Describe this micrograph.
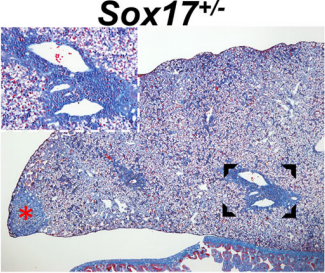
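Around several of the larger vessels there are dense cuffs of blue-staining connective tissue. The outer margin of the lobe, under the asterisk, also shows a patch of blue. The enlarged inset shows one of these vessels enclosed by a broad blue fibrous collar that holds small tubular profiles.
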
